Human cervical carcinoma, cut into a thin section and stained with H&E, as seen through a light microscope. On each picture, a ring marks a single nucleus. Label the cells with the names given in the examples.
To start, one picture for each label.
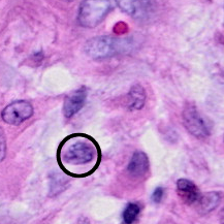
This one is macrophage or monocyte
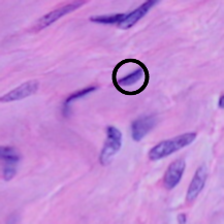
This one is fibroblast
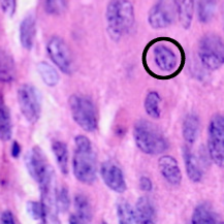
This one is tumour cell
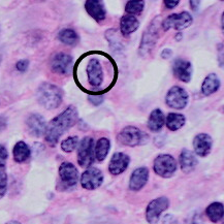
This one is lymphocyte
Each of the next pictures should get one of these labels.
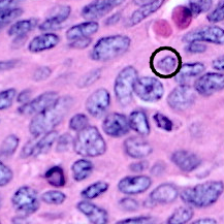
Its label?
tumour cell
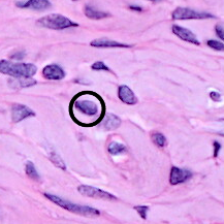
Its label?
fibroblast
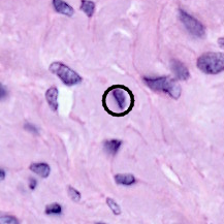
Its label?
fibroblast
